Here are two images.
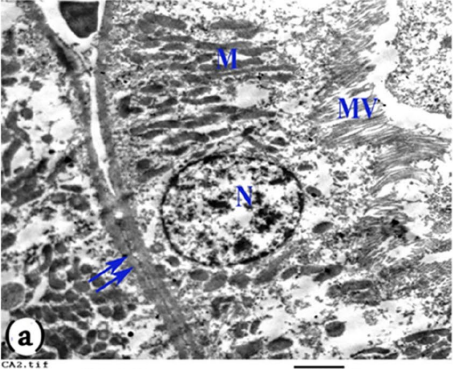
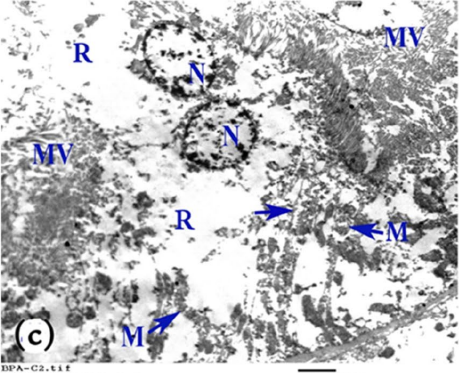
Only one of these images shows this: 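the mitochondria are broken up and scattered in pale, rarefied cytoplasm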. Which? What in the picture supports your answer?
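The second image. Second image: small fragmented dark profiles lie scattered among wide pale empty areas. First image: many elongated dark mitochondria lie closely packed in parallel rows.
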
